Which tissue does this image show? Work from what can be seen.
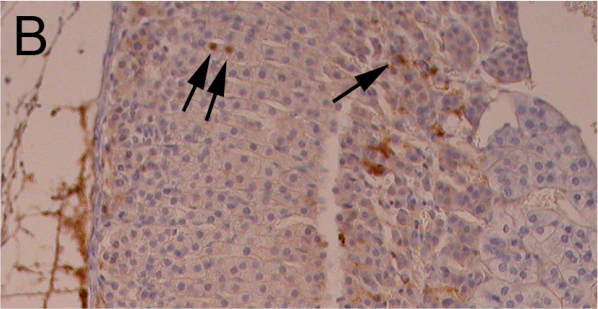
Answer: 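A thin capsule lies at the left edge with loose connective tissue outside it. Cells with round nuclei form radial cords running inward from the capsule. A region of larger, differently arranged cells lies at the right edge. The answer: adrenal glands.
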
